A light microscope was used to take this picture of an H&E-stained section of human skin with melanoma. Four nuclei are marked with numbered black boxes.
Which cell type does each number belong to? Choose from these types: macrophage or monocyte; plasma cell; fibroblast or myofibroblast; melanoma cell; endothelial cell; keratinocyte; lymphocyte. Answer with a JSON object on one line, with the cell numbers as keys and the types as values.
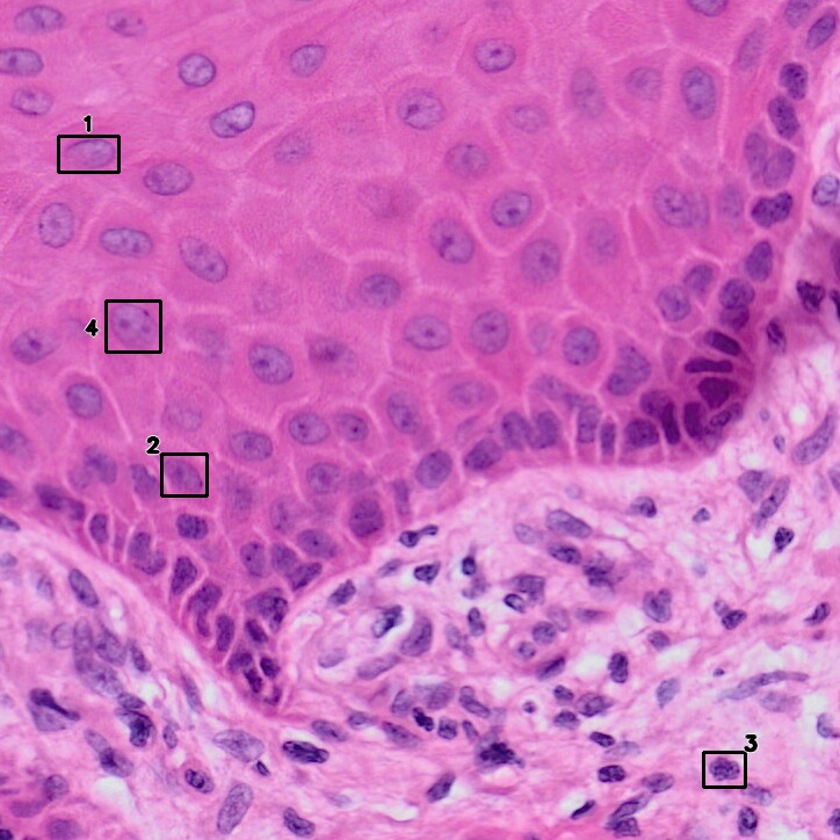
{"1": "keratinocyte", "2": "keratinocyte", "3": "lymphocyte", "4": "keratinocyte"}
